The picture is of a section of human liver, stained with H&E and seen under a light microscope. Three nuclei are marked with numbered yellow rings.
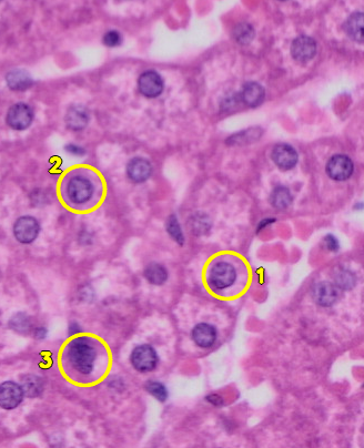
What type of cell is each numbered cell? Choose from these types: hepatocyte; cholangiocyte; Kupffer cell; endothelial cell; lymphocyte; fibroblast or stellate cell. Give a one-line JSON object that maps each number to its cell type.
{"1": "hepatocyte", "2": "hepatocyte", "3": "endothelial cell"}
